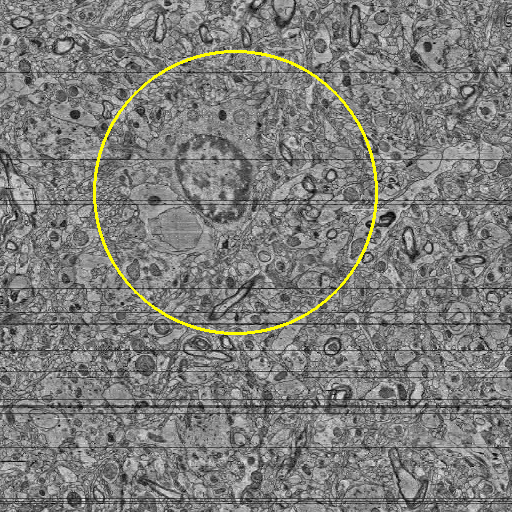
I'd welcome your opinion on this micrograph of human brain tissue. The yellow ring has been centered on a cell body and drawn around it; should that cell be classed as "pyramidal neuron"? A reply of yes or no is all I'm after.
no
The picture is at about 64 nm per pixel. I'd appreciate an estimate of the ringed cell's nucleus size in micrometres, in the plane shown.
In this plane the nucleus measures roughly 6 by 4 micrometers.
